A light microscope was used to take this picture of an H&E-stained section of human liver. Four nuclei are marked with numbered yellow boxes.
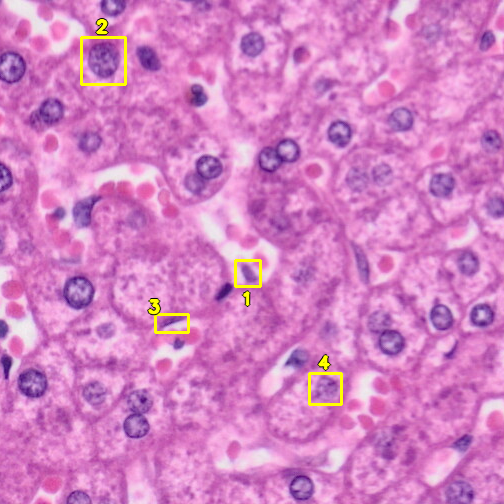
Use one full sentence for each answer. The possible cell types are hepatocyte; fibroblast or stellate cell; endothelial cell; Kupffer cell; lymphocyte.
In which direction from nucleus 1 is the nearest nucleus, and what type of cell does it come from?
Lying below and to the left of nucleus 1, the nearest nucleus is that of a fibroblast or stellate cell.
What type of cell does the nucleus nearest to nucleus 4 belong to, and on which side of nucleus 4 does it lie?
Just above and to the left of nucleus 4 lies the nearest nucleus, which belongs to an endothelial cell.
